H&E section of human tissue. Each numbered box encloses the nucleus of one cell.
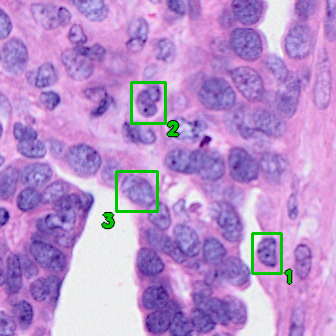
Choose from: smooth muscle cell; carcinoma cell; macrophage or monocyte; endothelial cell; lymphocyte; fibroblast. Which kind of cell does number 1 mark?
macrophage or monocyte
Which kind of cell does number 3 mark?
carcinoma cell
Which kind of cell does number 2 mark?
macrophage or monocyte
